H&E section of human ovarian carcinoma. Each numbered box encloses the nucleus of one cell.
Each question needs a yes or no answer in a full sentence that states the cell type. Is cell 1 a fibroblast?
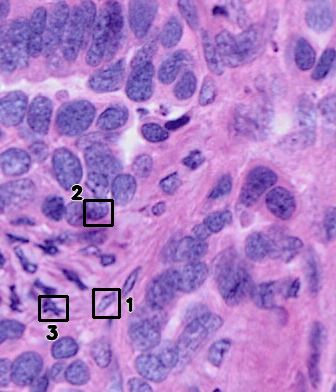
Yes, the numbered cell 1 is identified as a fibroblast.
